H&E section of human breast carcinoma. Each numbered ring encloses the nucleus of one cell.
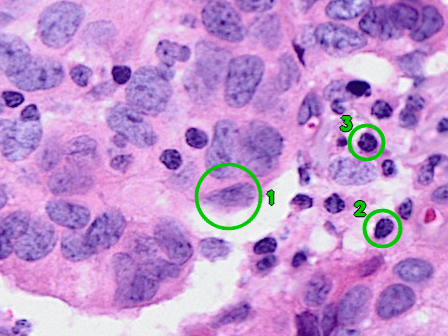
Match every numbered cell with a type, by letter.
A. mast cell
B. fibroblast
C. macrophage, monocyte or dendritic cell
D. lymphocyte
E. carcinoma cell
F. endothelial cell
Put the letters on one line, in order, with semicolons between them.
E; D; D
